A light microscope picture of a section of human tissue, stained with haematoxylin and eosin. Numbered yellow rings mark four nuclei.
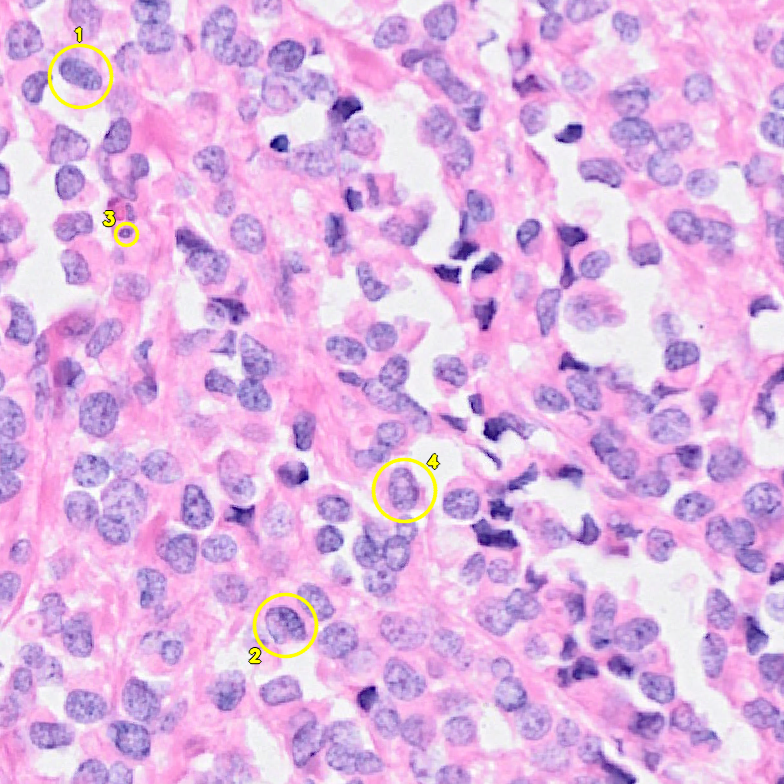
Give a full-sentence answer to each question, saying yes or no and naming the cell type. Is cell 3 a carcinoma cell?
No, cell 3 represents an endothelial cell rather than a carcinoma cell.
